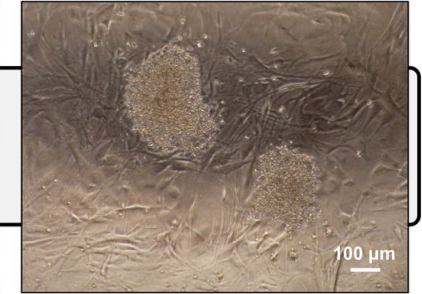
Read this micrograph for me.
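Two small, compact colonies of tightly packed round cells sit on a bed of elongated, spindle-shaped cells. The colonies have fairly sharp borders and no fine processes extending from them, resembling undifferentiated stem cell colonies.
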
